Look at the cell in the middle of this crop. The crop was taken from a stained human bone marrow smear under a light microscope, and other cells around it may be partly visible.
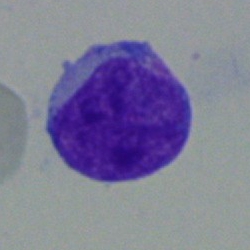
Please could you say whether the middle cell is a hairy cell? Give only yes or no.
no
